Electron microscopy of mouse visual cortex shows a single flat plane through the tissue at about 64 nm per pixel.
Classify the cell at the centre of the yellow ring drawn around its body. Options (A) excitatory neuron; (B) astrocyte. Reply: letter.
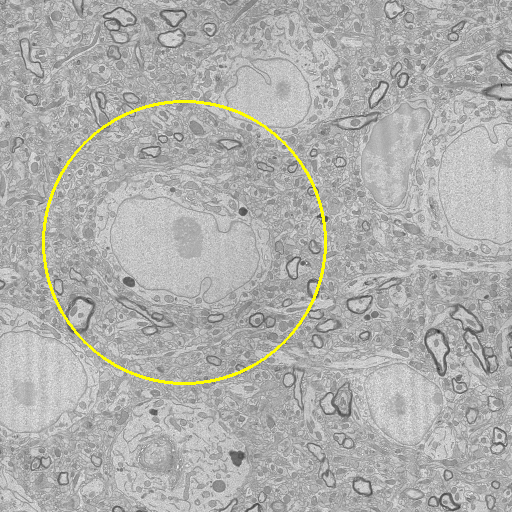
A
